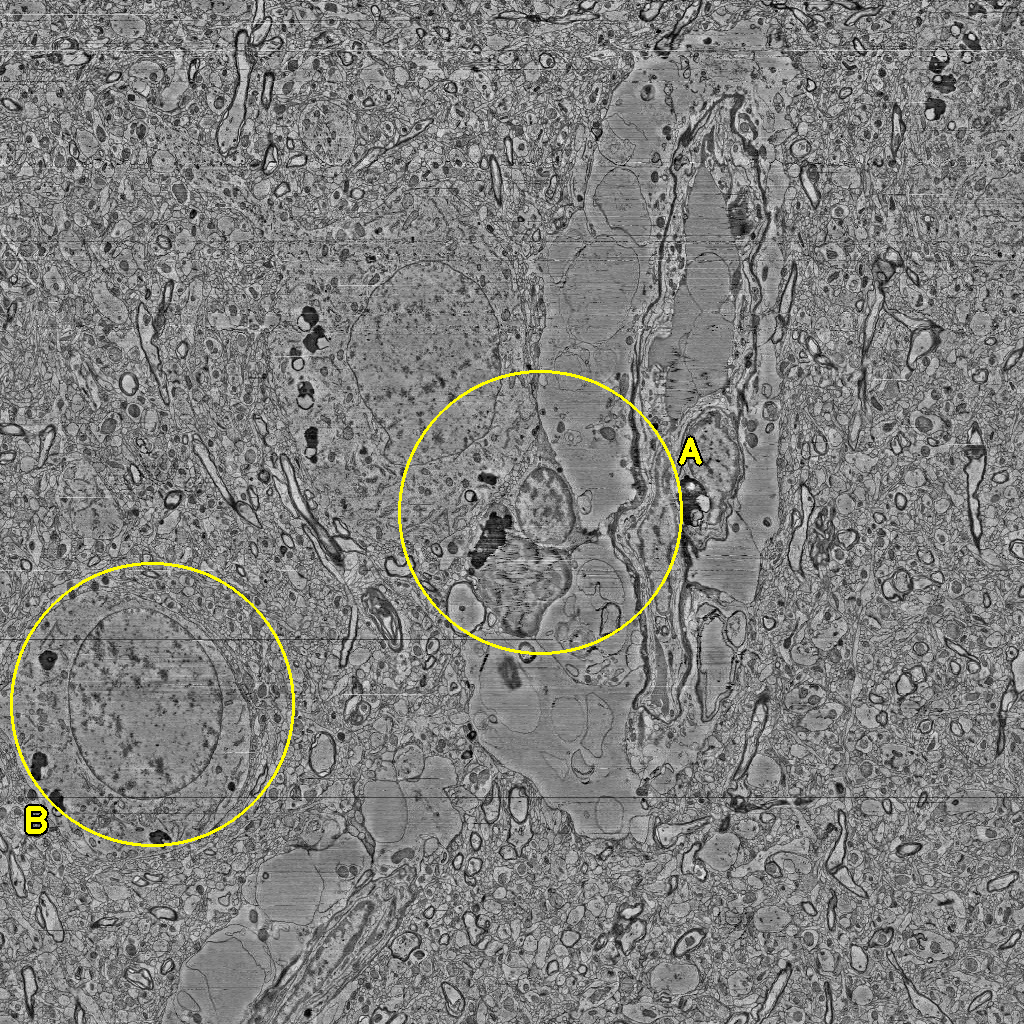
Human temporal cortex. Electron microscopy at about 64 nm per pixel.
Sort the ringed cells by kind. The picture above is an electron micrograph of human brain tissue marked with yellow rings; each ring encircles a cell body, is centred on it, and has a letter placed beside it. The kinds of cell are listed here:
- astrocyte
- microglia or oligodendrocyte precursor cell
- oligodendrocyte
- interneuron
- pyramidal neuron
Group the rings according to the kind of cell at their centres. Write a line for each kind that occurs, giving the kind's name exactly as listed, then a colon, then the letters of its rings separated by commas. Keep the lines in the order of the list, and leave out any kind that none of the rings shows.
oligodendrocyte: A
pyramidal neuron: B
